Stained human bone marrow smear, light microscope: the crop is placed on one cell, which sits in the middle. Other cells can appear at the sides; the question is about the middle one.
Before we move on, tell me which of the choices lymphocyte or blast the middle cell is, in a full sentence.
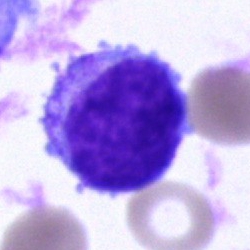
At the middle of the frame sits a blast.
